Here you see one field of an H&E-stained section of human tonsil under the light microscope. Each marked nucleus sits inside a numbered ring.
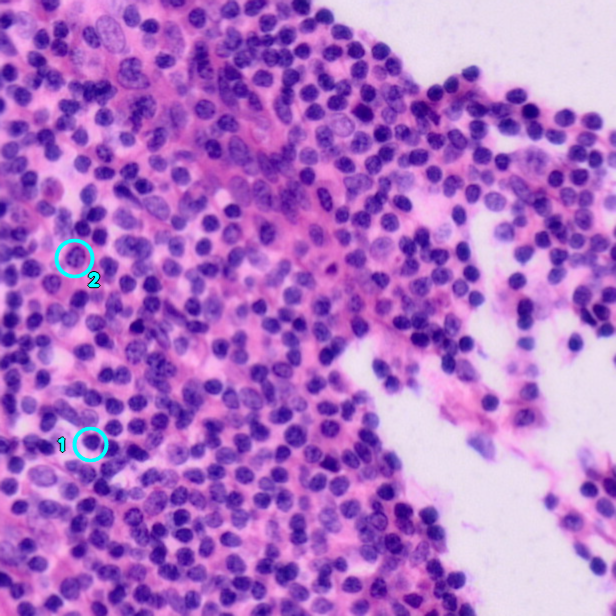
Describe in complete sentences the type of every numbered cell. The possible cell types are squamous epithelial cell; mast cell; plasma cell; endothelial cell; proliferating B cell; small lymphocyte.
Cell 1 is a small lymphocyte. Cell 2 is a plasma cell.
